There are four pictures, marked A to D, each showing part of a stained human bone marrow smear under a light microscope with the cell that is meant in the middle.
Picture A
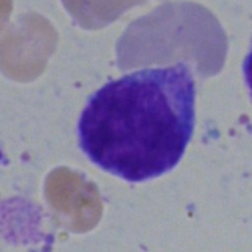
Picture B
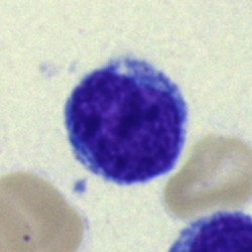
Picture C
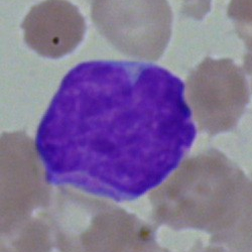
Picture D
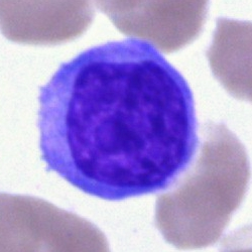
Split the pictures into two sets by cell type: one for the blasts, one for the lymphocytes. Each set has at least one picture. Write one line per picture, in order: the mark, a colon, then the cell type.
A: lymphocyte
B: blast
C: blast
D: blast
